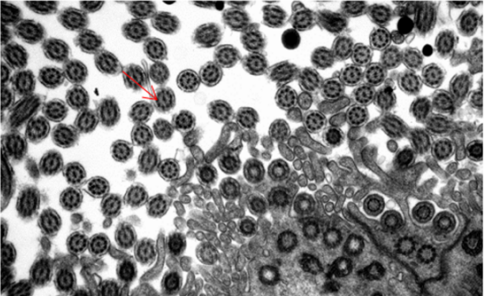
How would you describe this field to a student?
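Numerous round ciliary profiles crowd the lumen above the cell, each showing a ring of peripheral microtubule doublets around a central pair. Closer to the cell surface, thinner, irregular finger-like microvilli intermingle with the cilia, and some cilia appear near the apical cytoplasm at their bases. Scattered dense round bodies lie among the cilia.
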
